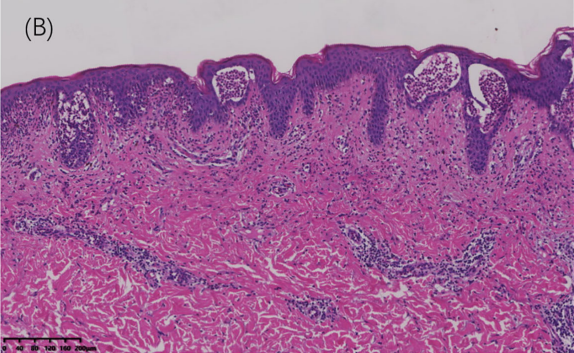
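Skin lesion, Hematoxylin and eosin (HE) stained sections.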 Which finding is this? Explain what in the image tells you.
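Several rounded cavities lie within the upper epidermis. The cavities are packed with small inflammatory cells. The answer: Blisters in the epidermis.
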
